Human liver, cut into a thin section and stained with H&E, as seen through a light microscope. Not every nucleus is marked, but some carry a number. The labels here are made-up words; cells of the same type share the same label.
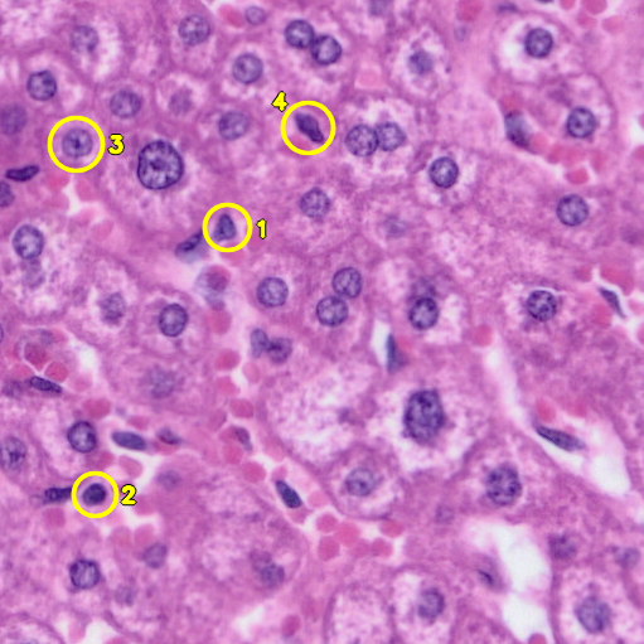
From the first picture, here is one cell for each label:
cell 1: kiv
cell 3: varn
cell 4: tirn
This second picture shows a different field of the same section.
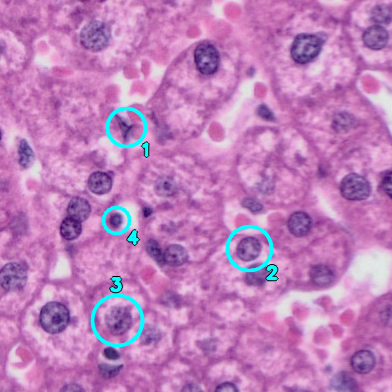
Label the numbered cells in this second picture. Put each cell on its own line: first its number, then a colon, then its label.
1: tirn
2: varn
3: varn
4: kiv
